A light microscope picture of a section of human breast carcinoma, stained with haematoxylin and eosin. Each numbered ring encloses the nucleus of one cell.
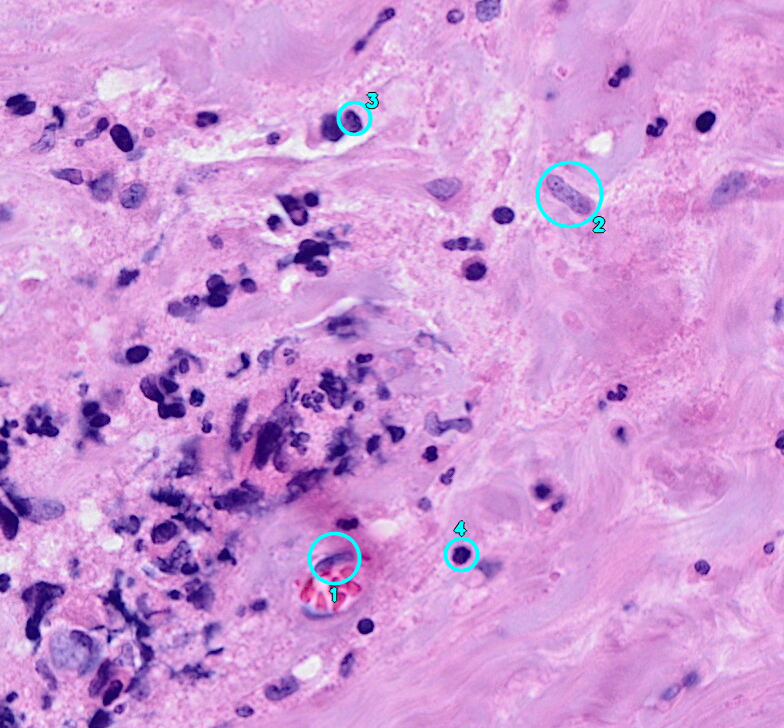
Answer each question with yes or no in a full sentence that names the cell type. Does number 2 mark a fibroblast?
Yes, the cell numbered 2 in this tissue is a fibroblast.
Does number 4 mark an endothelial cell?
No, the cell given number 4 is a lymphocyte, as opposed to an endothelial cell.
